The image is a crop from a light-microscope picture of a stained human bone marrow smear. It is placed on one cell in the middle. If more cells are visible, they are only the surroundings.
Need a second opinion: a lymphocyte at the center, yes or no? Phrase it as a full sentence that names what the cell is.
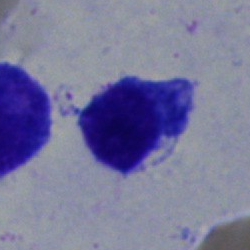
Yes, the cell of interest in the middle is a lymphocyte.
